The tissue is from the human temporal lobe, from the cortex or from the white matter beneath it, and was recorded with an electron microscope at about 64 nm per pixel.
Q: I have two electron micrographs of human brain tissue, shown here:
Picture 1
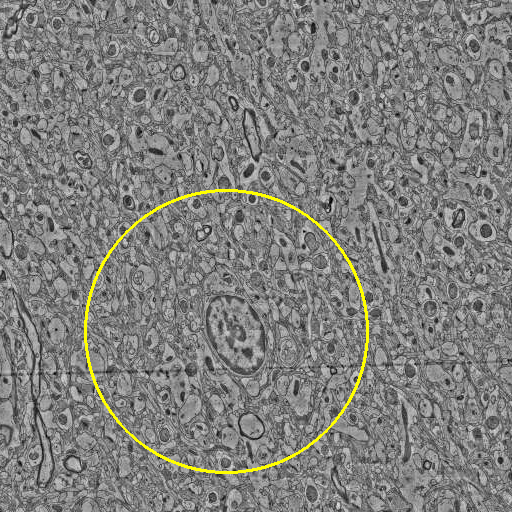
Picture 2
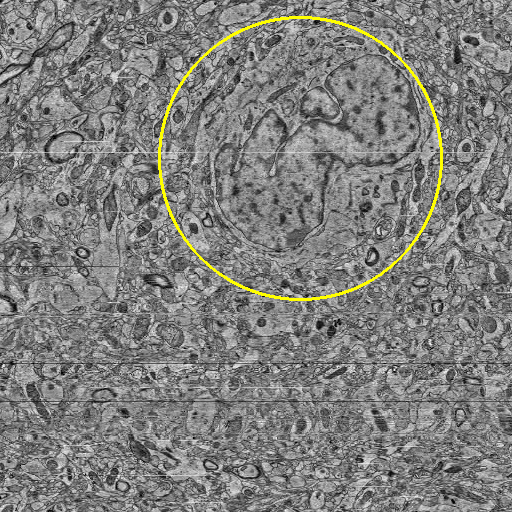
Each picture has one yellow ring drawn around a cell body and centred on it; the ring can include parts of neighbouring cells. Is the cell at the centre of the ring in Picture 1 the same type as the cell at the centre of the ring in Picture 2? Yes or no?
yes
